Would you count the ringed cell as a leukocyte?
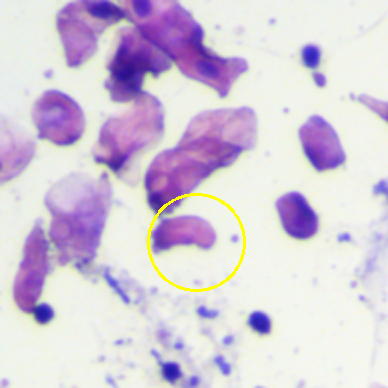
No, I would count it as a cornified epithelial cell.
